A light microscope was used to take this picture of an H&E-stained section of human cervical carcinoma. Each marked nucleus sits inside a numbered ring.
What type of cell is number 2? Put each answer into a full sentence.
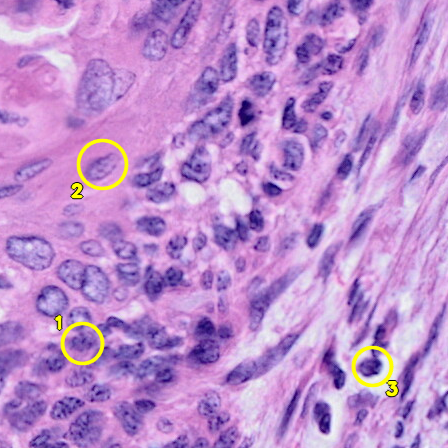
Cell number 2 in this section is a squamous carcinoma cell.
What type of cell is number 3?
Recognised here as a lymphocyte is the cell numbered 3.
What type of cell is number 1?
Denoted by the label 1 in the section is a squamous carcinoma cell.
